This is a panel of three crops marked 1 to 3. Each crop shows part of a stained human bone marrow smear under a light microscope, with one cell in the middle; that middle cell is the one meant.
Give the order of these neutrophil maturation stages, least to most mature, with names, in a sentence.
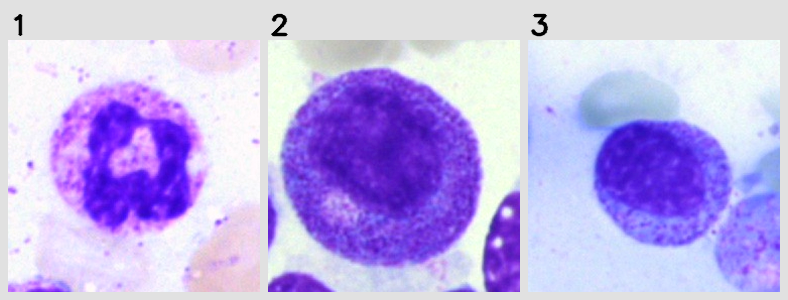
From earliest to most mature stage, the crops go crop 2 (a promyelocyte), crop 3 (a myelocyte) and crop 1 (a segmented neutrophil).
